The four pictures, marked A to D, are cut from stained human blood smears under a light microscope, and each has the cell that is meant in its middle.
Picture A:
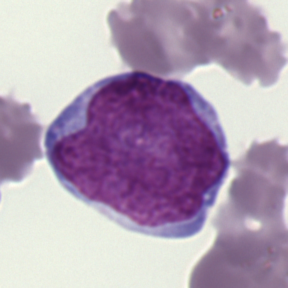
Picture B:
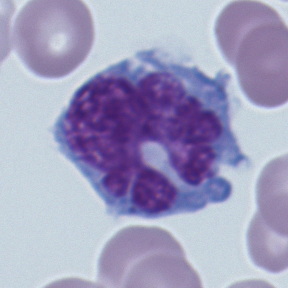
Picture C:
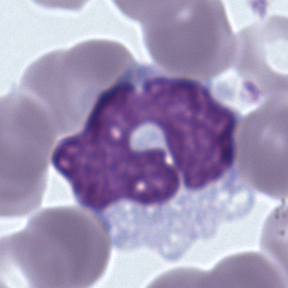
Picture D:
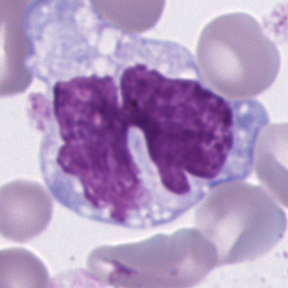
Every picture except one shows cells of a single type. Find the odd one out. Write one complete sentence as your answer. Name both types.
All pictures except A show monocytes; picture A shows a myeloblast.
